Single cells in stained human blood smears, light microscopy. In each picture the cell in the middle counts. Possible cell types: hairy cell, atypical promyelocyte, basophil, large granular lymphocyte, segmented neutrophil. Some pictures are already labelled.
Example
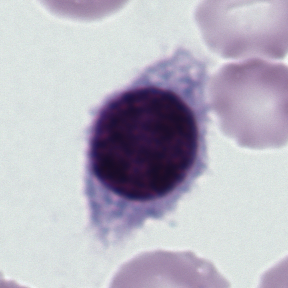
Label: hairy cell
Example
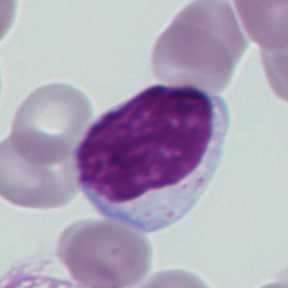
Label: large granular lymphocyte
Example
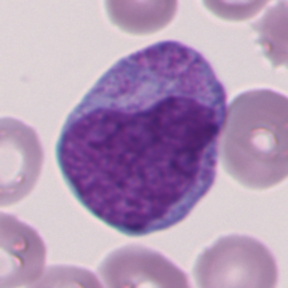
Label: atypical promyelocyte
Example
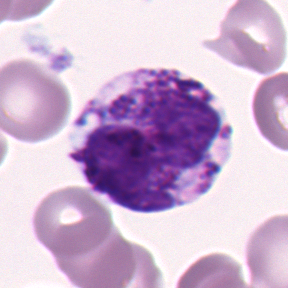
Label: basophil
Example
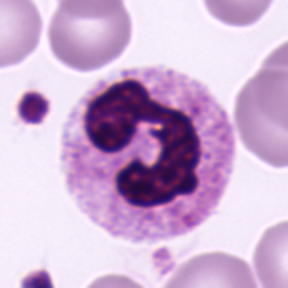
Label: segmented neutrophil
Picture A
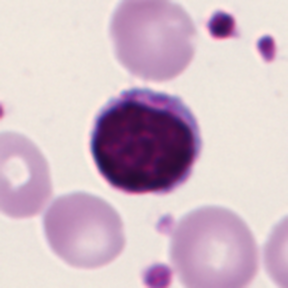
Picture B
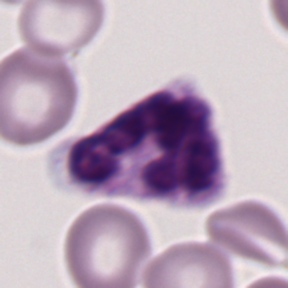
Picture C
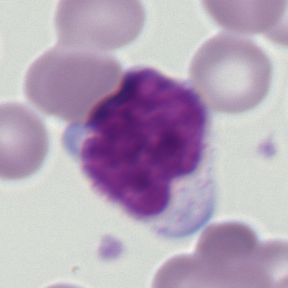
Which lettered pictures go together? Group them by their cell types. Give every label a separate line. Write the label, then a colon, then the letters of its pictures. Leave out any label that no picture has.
large granular lymphocyte: A, C
segmented neutrophil: B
